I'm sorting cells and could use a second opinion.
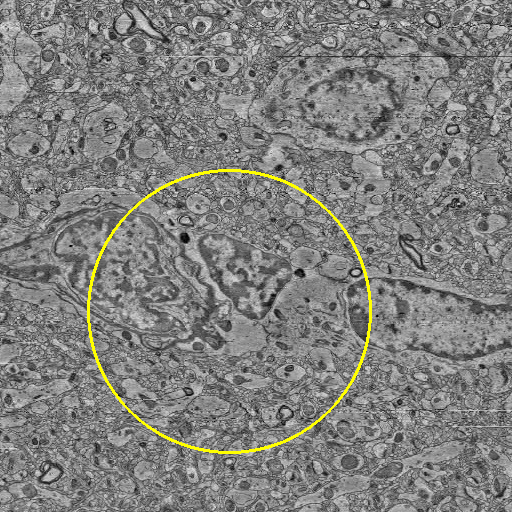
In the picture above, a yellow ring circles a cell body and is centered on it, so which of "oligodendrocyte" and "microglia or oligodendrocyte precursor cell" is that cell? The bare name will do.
microglia or oligodendrocyte precursor cell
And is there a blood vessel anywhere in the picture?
Yes, the image shows a blood vessel.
